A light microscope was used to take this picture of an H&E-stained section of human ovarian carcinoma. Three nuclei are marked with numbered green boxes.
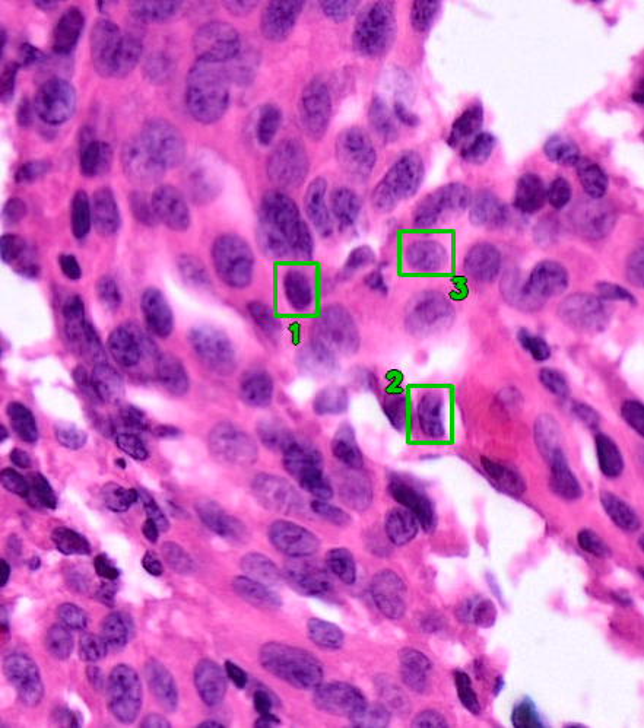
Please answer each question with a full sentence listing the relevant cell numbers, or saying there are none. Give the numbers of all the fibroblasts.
There are no fibroblasts in the group of numbered cells.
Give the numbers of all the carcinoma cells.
To be specific, the cells numbered 1 and 3 are carcinoma cells.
